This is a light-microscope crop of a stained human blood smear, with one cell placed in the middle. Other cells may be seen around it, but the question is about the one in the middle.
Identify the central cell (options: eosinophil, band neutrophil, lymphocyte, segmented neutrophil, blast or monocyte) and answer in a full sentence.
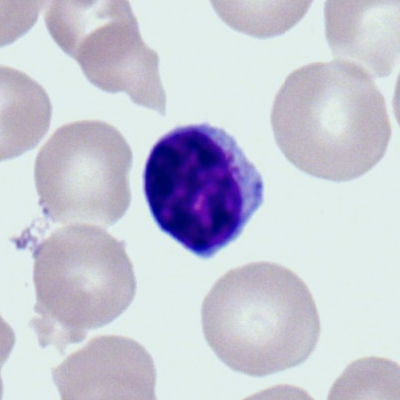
The single cell at the center of the crop is a lymphocyte.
